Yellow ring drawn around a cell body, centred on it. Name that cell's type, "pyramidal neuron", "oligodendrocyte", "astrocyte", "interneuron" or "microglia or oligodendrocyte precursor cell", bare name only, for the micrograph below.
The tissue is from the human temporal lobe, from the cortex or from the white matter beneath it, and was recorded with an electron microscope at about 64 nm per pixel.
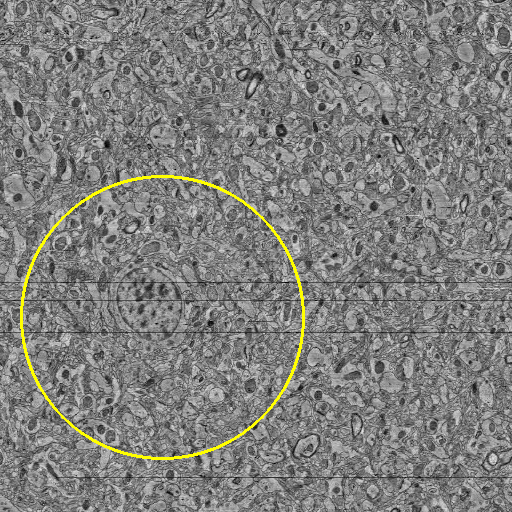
microglia or oligodendrocyte precursor cell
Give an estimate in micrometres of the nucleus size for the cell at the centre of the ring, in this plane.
In this plane, the nucleus is roughly 5 by 4 micrometres.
